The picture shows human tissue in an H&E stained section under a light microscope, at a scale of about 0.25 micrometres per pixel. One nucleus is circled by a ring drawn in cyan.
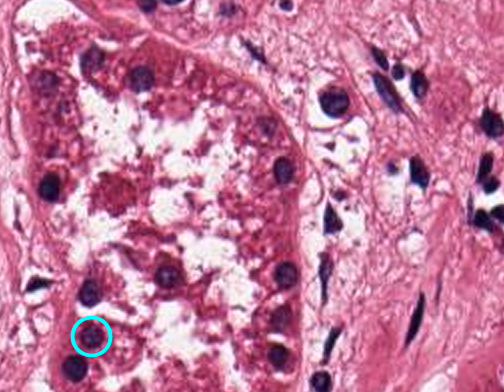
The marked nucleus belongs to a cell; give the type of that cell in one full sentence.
On this slide, the marked nucleus belongs to a proximal tubule cell.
